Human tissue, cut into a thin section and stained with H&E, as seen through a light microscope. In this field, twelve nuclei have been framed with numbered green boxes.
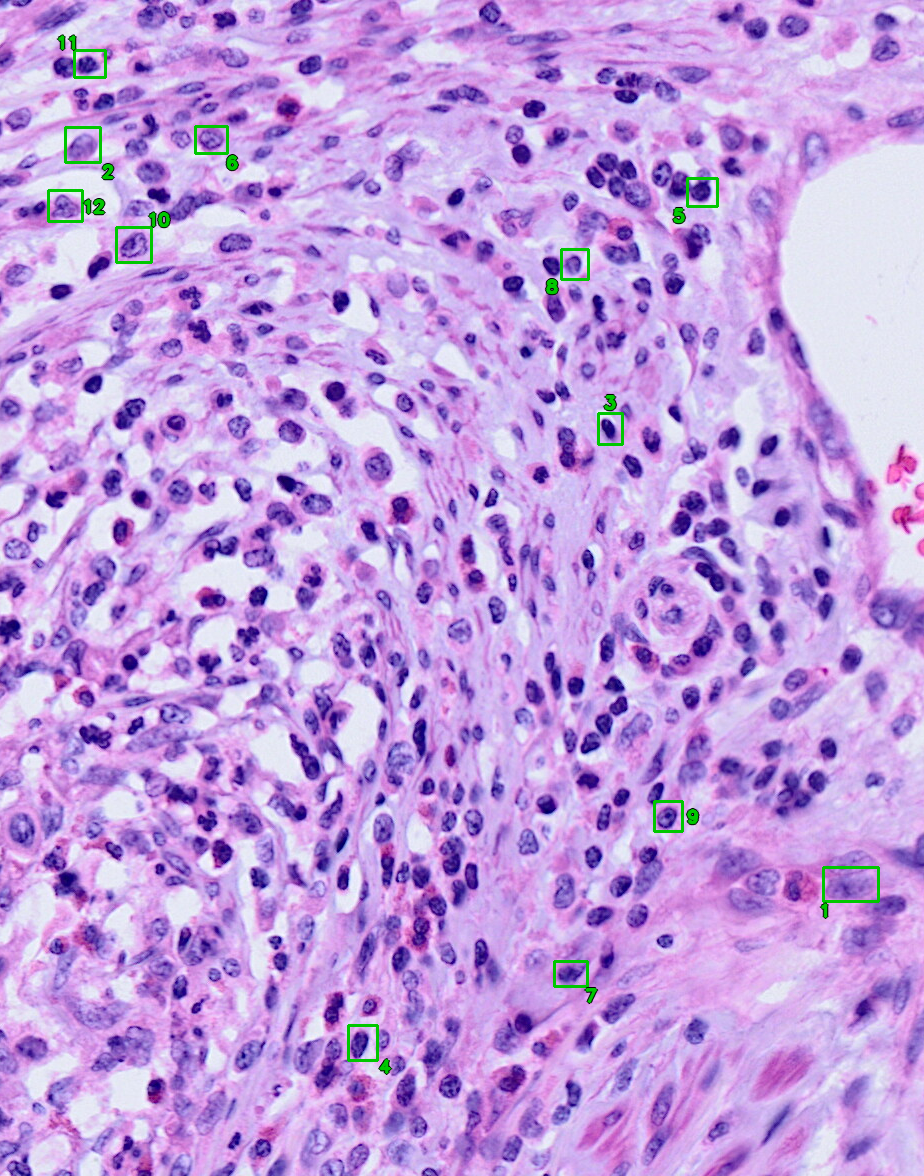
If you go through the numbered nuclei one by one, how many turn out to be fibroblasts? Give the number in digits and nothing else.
0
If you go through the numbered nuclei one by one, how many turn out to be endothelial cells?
1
